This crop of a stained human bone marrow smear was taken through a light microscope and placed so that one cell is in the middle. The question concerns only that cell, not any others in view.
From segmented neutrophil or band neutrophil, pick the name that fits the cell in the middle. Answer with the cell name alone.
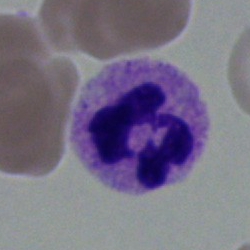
segmented neutrophil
